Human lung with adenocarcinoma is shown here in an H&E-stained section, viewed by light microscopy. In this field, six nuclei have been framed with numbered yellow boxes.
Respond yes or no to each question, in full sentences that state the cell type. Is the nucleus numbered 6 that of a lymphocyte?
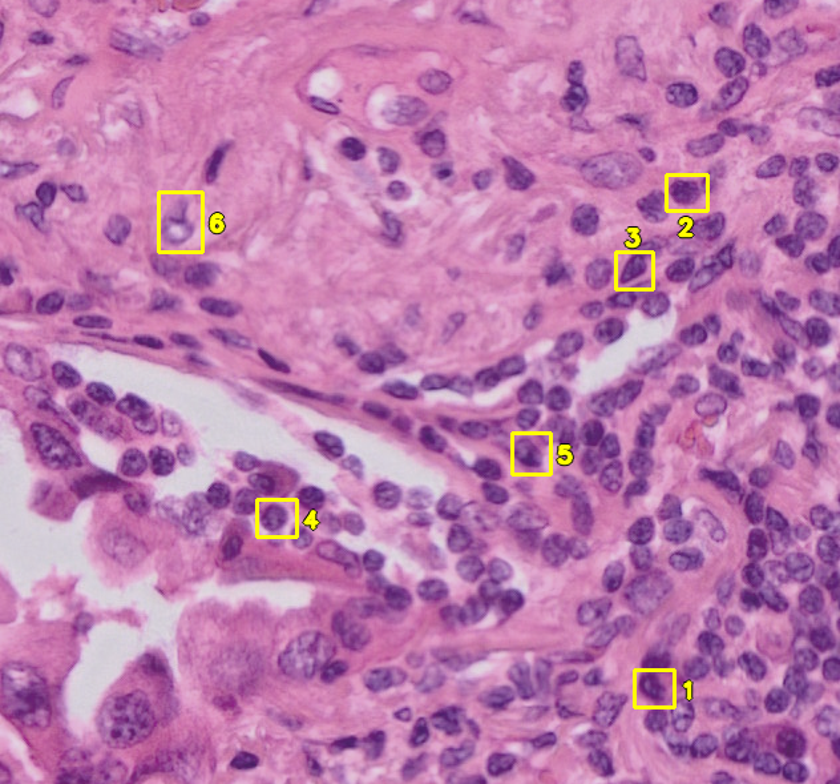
No, the cell under number 6 is a fibroblast instead of a lymphocyte.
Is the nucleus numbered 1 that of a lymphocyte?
No, cell 1 is a plasma cell; it is not a lymphocyte.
